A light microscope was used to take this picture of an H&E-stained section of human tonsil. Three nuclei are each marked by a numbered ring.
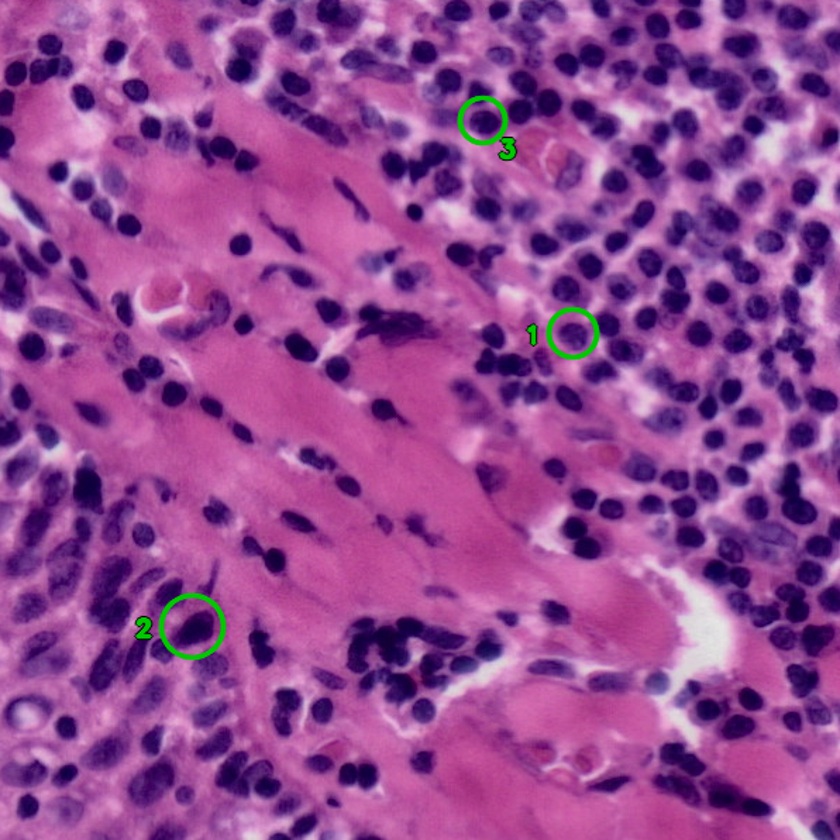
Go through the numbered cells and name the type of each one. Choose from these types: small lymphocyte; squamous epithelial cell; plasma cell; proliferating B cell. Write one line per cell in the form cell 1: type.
cell 1: plasma cell
cell 2: squamous epithelial cell
cell 3: plasma cell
